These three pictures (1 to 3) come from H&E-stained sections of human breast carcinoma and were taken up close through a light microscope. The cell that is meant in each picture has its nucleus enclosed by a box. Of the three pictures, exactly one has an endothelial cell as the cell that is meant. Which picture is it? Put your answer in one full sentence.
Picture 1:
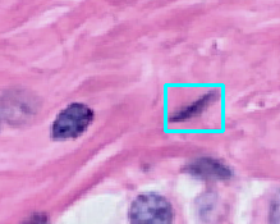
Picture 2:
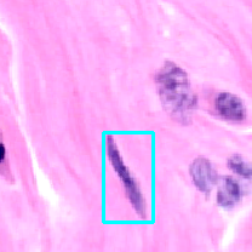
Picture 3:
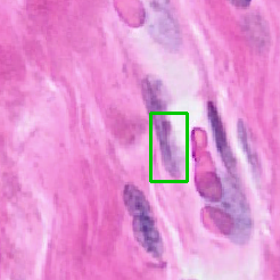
Picture 3 is the one that shows the endothelial cell.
